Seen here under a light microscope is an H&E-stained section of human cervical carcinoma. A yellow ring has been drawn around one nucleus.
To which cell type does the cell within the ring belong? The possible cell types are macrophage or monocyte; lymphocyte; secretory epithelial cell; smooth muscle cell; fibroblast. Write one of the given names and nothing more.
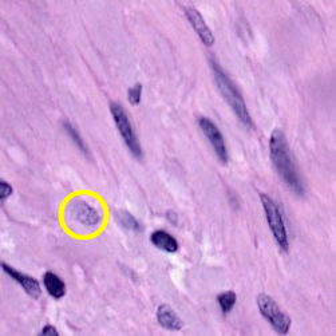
fibroblast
